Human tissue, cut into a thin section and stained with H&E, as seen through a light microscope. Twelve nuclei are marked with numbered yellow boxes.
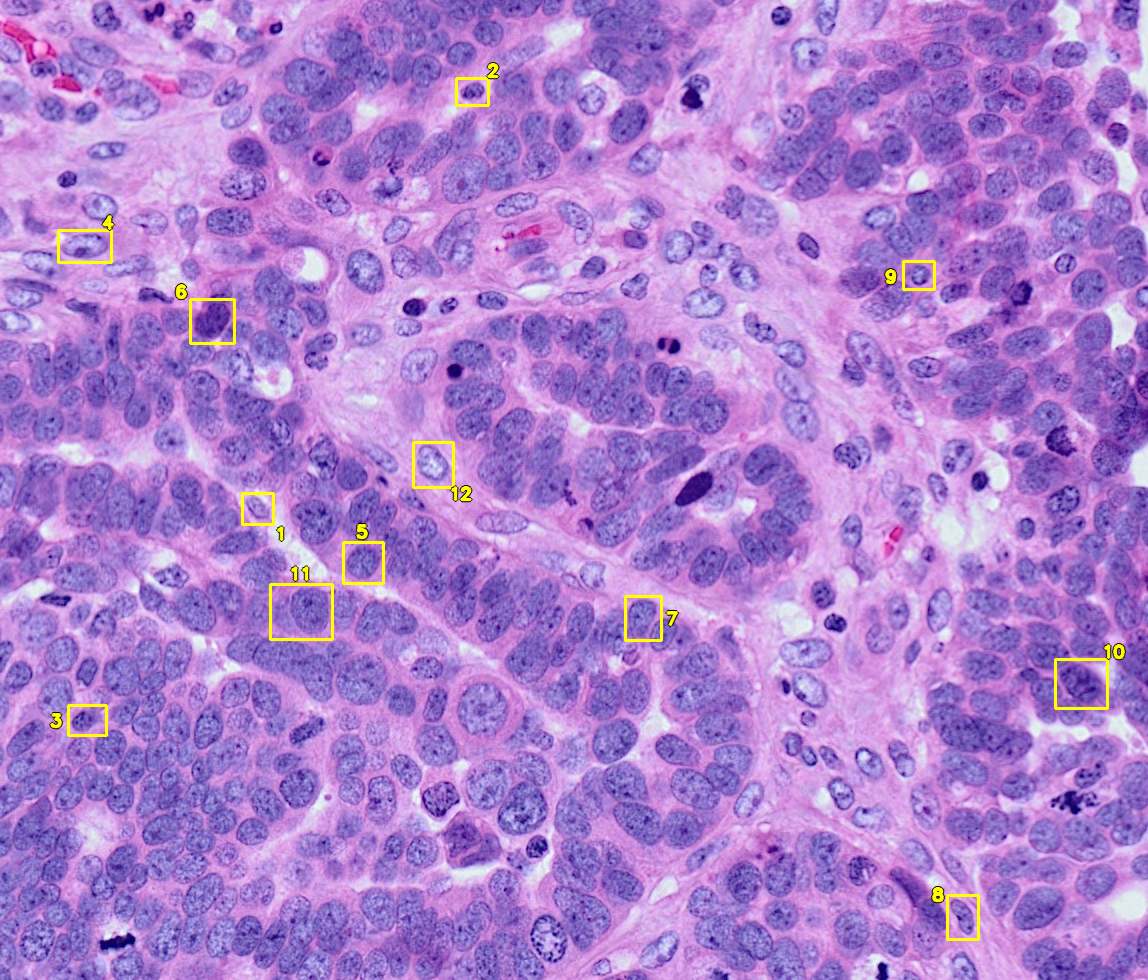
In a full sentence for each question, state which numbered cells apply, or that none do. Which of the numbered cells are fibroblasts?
The numbers 4 and 12 mark cells that are fibroblasts.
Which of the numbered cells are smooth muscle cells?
No smooth muscle cells are present among the numbered cells.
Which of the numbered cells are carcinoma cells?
The cells labelled 5, 6, 7, 10 and 11 in this section are carcinoma cells.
